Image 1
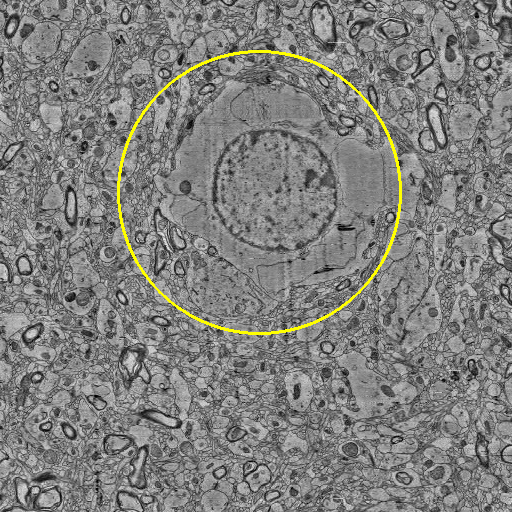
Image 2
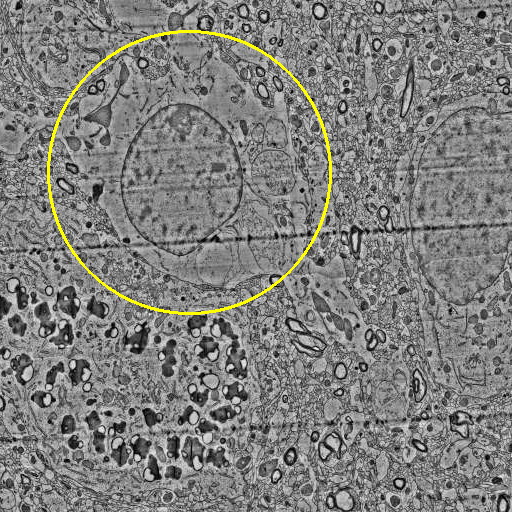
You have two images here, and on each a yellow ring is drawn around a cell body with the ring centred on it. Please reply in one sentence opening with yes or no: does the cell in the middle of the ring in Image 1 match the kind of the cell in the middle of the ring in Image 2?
Yes, the two images show cells of one kind at the centres of their rings.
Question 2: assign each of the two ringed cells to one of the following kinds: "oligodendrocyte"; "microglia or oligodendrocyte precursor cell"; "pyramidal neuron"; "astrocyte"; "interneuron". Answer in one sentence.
The cell in the first picture is an astrocyte, and so is the one in the second.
